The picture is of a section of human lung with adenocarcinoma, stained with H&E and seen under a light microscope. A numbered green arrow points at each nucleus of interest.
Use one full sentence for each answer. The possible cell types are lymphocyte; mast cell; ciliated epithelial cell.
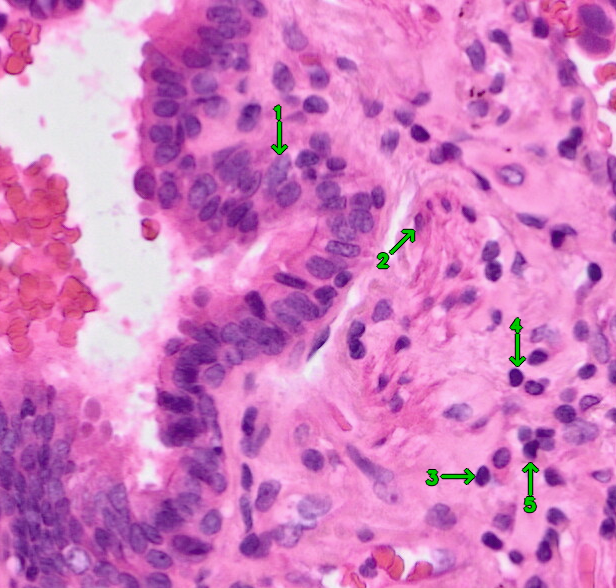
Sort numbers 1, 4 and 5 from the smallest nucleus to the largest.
Smallest first, the nuclei run 5, 4, 1.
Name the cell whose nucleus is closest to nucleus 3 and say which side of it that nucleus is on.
Lying above and to the right of nucleus 3, the nearest nucleus is that of a mast cell.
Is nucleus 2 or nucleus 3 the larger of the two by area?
Of the two, number 3 is bigger and takes up about 1.5 times the area of number 2.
